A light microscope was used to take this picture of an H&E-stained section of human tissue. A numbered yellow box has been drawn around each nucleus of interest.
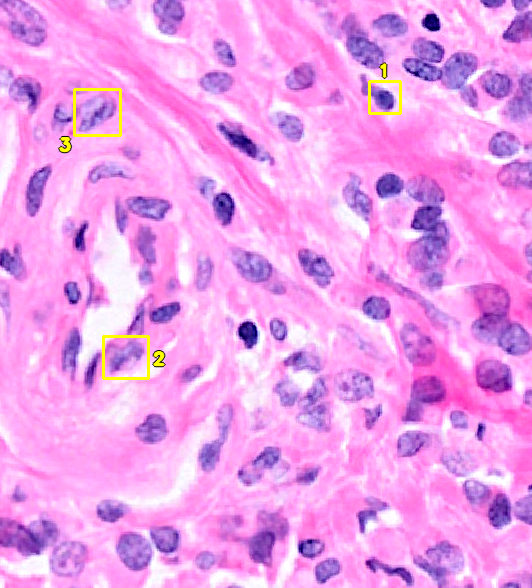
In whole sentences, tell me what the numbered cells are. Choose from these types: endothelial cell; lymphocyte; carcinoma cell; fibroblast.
Cell 1 is a lymphocyte. Cells 2 and 3 are endothelial cells.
